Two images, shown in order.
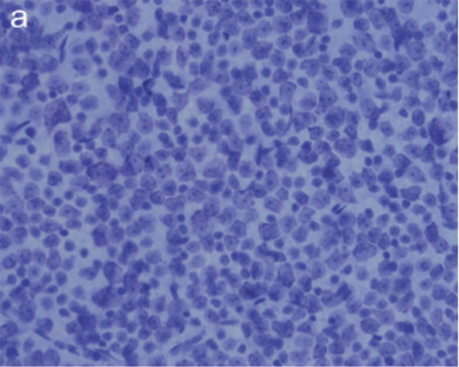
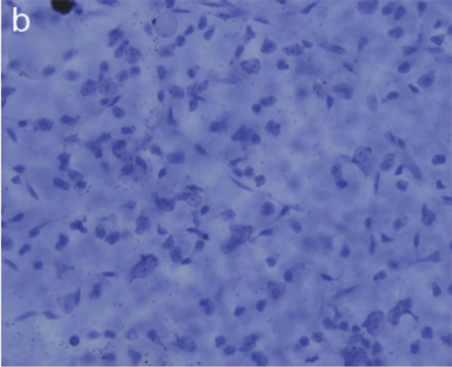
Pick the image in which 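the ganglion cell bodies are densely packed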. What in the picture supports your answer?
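The first image. Second image: sparse, scattered cell bodies with wide pale spaces between them, many small elongated profiles. First image: round cell bodies crowded closely across the whole field.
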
